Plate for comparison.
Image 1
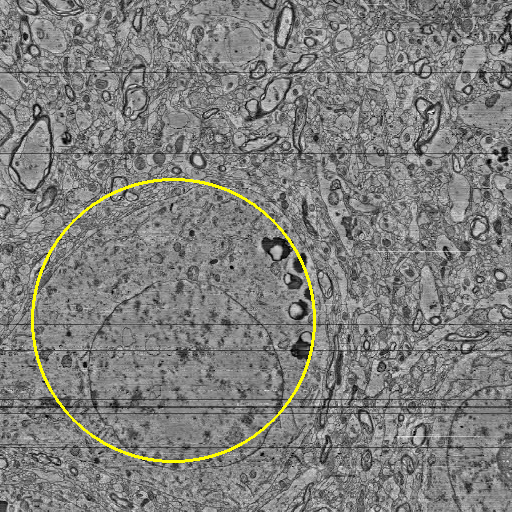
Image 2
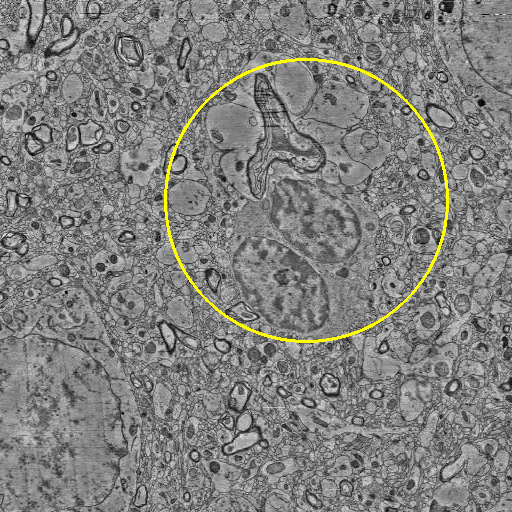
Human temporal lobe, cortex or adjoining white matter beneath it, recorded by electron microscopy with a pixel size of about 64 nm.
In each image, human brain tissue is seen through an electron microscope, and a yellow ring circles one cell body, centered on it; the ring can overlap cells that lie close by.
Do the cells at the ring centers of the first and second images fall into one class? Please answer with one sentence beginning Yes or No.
No, the first and second images show two classes of cell at the ring centers.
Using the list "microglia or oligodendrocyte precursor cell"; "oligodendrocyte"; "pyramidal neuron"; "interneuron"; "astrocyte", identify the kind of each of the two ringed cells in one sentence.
The first is a pyramidal neuron and the second is an oligodendrocyte.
